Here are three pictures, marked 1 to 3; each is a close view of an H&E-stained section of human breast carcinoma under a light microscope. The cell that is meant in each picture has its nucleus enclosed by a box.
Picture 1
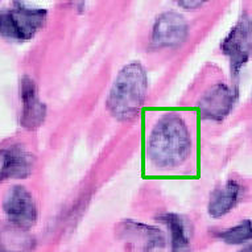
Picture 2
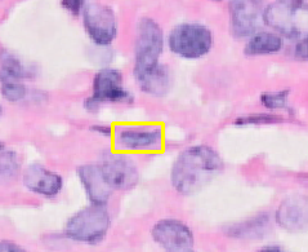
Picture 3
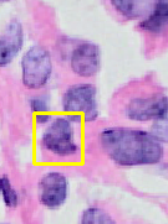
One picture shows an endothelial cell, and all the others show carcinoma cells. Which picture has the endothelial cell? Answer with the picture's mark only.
2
